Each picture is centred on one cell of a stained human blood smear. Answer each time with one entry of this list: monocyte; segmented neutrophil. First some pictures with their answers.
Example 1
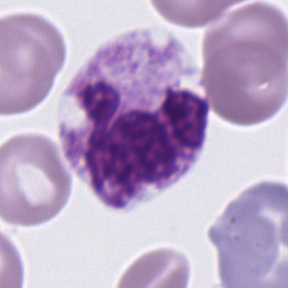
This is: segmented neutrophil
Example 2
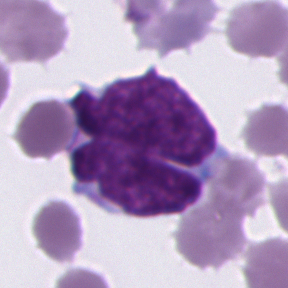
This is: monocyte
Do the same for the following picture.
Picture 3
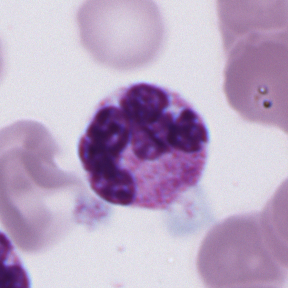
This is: segmented neutrophil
